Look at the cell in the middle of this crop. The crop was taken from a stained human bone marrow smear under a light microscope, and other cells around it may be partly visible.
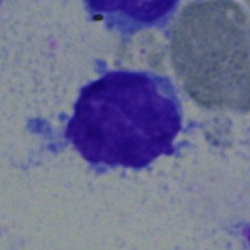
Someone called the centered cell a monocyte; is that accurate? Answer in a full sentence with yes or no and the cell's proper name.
No, instead of a monocyte, the centred cell represents a lymphocyte.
